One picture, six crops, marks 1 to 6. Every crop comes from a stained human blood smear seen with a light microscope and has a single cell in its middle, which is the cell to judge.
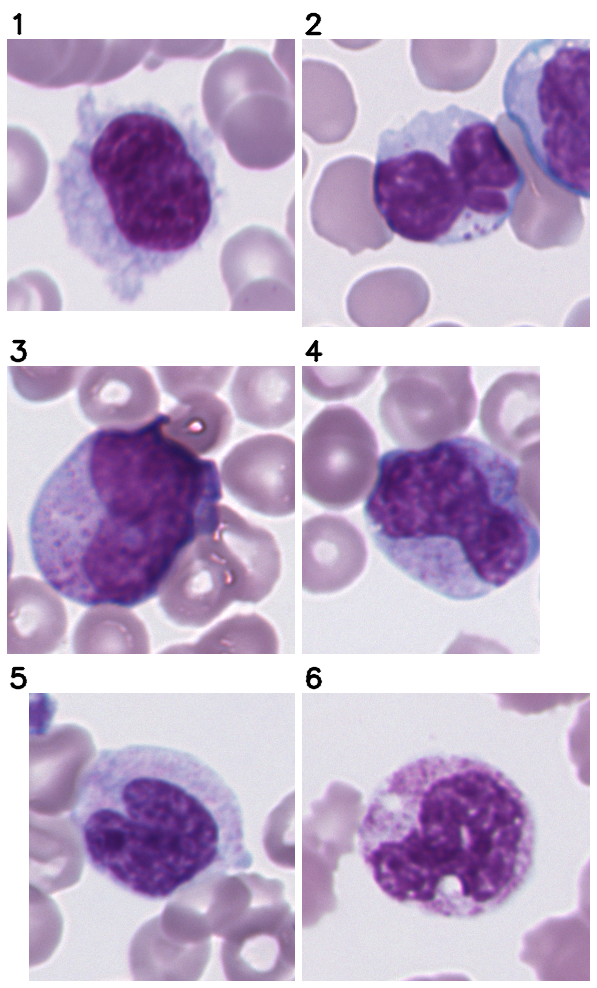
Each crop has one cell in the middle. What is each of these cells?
1: hairy cell
2: large granular lymphocyte
3: atypical promyelocyte
4: monocyte
5: band neutrophil
6: segmented neutrophil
